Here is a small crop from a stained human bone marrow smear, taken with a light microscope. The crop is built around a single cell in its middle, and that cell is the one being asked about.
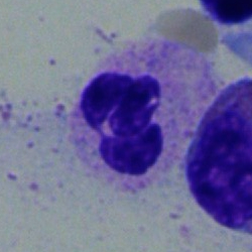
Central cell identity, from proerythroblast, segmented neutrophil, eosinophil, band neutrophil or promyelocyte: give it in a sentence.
Occupying the centre of the crop is a segmented neutrophil.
